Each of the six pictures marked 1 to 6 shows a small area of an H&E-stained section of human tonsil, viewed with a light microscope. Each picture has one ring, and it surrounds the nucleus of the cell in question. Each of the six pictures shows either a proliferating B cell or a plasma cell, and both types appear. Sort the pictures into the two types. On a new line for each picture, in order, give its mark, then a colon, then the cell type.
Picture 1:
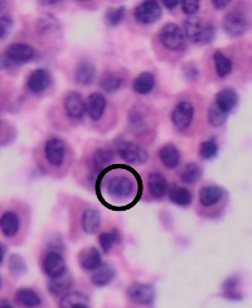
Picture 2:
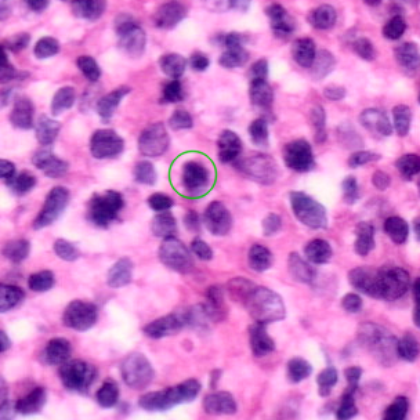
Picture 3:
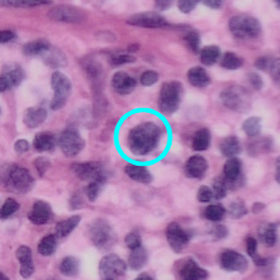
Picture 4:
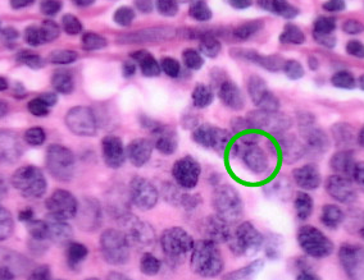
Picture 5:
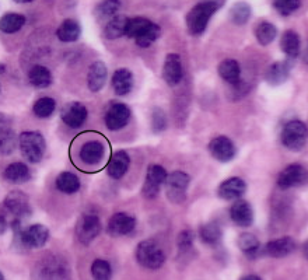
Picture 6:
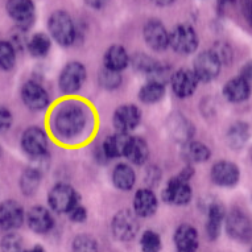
1: plasma cell
2: proliferating B cell
3: proliferating B cell
4: proliferating B cell
5: plasma cell
6: plasma cell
